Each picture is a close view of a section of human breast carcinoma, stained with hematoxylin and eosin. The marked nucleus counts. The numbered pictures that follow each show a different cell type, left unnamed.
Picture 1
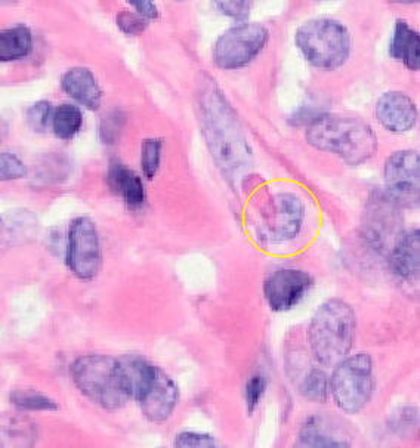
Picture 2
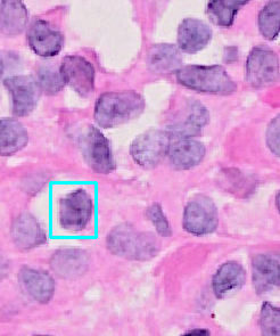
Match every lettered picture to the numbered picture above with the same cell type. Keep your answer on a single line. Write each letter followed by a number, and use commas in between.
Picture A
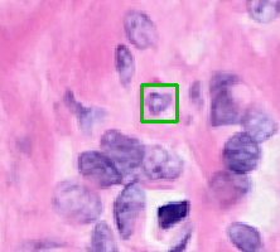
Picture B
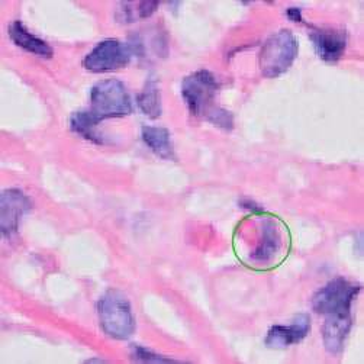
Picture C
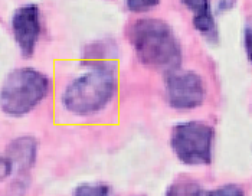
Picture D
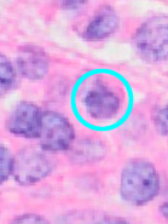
A 1, B 1, C 2, D 2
